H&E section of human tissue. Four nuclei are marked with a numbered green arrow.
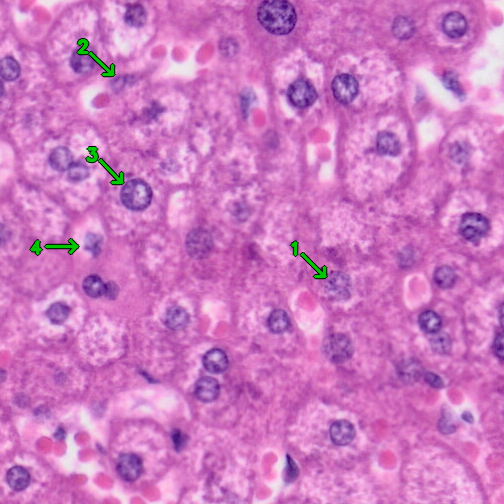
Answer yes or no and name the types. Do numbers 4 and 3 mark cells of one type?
No, as to type, cell 4 is an endothelial cell, and cell 3 is a hepatocyte.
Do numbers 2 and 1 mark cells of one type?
No, cell 2 here is a Kupffer cell and cell 1 here is a hepatocyte.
